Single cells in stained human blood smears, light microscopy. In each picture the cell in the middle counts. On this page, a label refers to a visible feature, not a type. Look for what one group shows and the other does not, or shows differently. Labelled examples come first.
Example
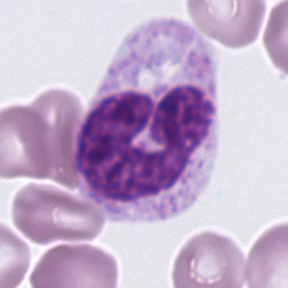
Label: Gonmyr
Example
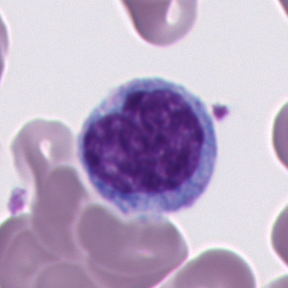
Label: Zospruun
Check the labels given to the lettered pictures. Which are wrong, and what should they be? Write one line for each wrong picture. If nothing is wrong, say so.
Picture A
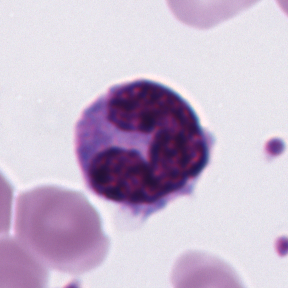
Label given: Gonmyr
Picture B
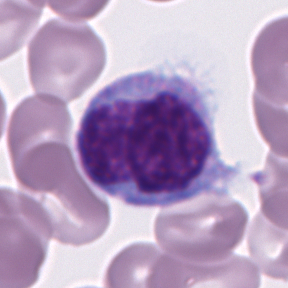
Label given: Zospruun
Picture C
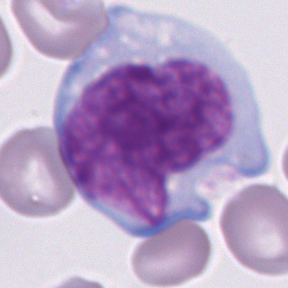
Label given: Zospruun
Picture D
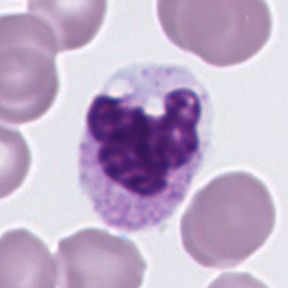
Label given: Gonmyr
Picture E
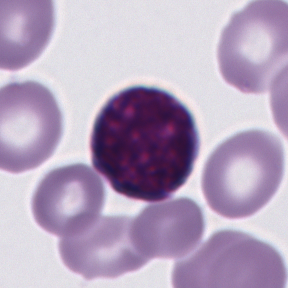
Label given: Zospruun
A: not Gonmyr but Zospruun
C: not Zospruun but Gonmyr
